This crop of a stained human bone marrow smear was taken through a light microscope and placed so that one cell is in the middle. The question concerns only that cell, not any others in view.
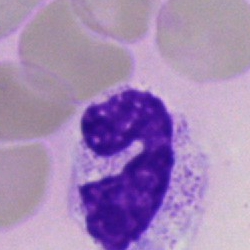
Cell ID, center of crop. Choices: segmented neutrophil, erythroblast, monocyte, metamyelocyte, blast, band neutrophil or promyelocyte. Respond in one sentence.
At the middle of the frame sits a band neutrophil.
